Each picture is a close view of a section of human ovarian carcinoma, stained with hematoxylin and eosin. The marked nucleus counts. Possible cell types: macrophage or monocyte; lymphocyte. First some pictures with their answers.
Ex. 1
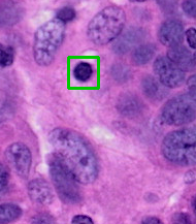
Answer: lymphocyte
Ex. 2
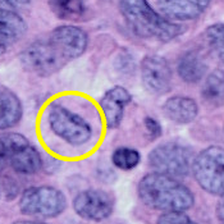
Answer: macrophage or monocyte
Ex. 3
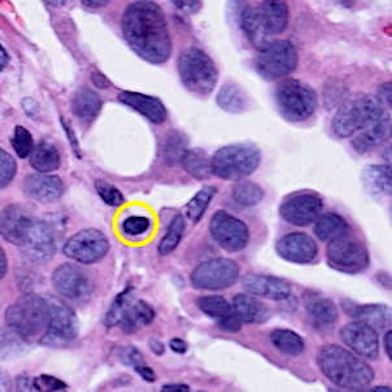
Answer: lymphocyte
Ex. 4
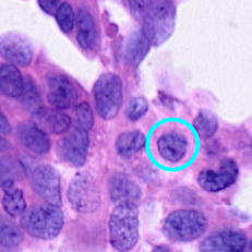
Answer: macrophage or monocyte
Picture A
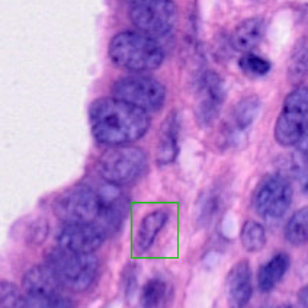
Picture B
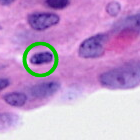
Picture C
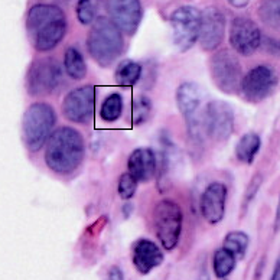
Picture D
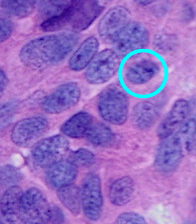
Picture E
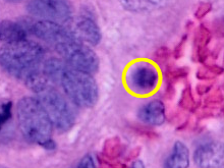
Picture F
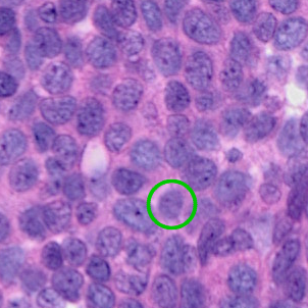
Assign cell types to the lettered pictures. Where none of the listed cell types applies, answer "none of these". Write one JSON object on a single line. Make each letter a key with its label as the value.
{"A": "macrophage or monocyte", "B": "lymphocyte", "C": "lymphocyte", "D": "macrophage or monocyte", "E": "lymphocyte", "F": "none of these"}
